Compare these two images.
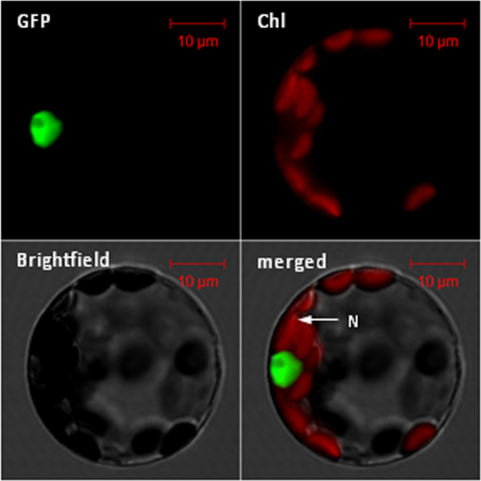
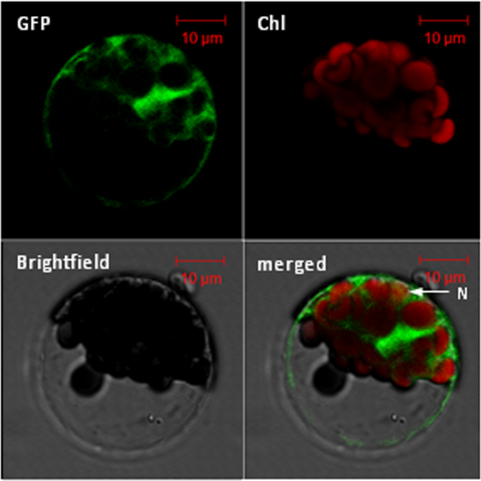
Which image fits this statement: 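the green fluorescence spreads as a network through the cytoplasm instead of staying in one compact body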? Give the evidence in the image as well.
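First image: the green fluorescence is a single small compact round body at the cell edge. Second image: green fluorescence forms strands and a rim through the cell among the chloroplasts and along the periphery.
Conclusion: the second image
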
